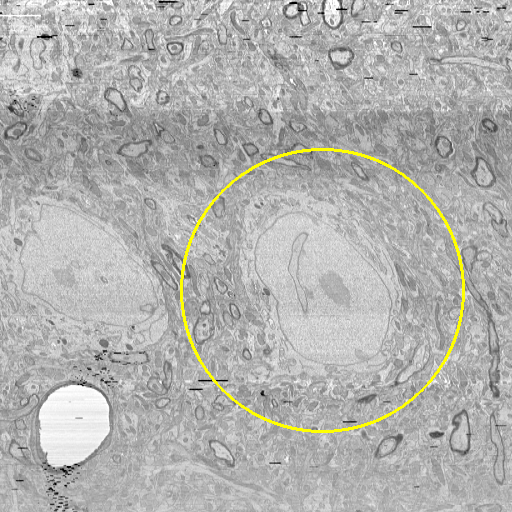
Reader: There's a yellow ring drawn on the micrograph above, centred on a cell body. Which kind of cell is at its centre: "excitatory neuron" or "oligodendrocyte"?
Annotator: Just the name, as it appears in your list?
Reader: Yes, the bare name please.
excitatory neuron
